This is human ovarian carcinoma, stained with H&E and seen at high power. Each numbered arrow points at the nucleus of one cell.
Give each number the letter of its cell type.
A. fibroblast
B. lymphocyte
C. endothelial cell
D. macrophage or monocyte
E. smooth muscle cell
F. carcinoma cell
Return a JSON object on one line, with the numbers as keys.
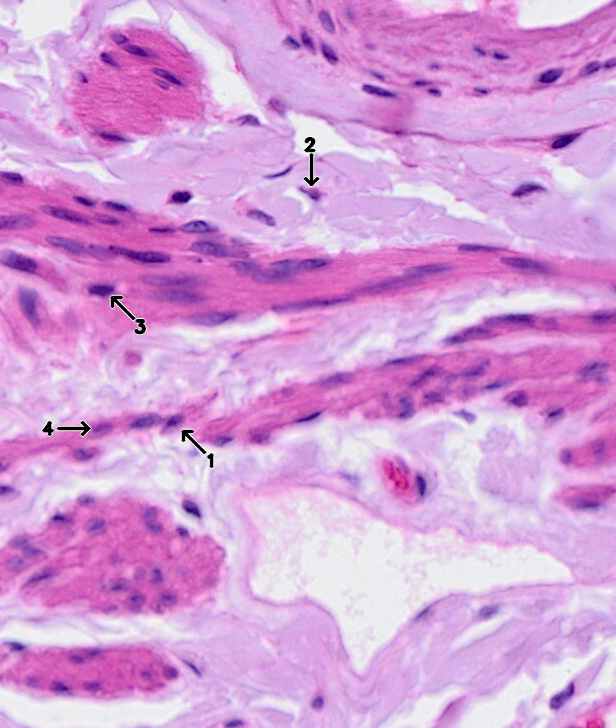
{"1": "E", "2": "A", "3": "E", "4": "E"}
